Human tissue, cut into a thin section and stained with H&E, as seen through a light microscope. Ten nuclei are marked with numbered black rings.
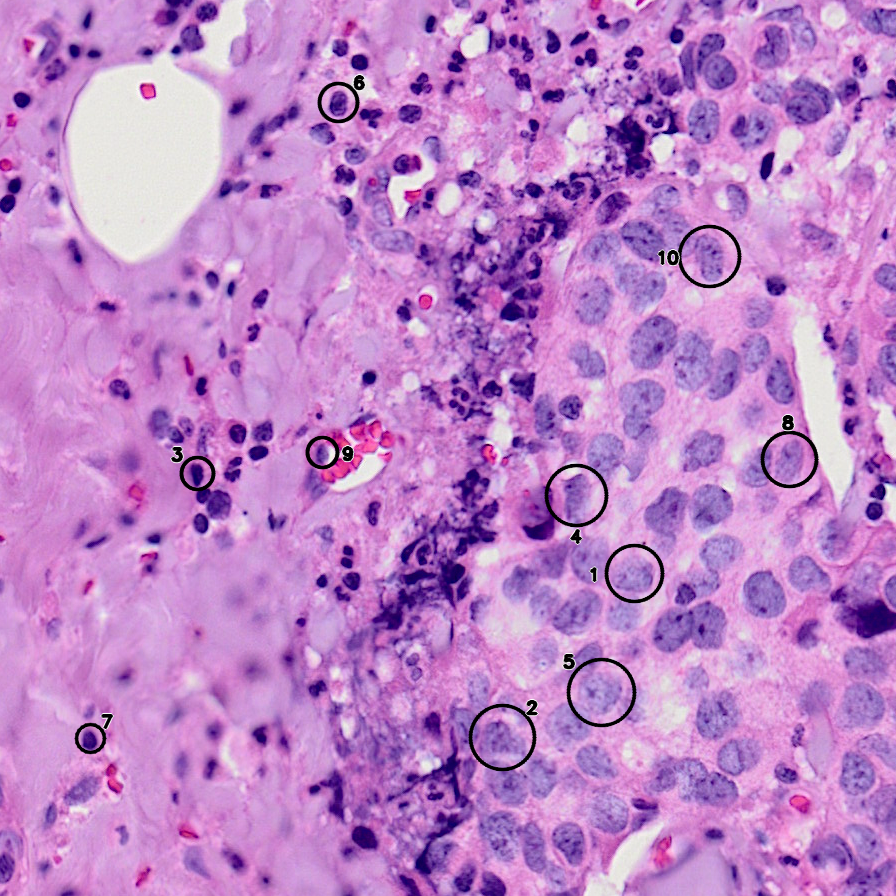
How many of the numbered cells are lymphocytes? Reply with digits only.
3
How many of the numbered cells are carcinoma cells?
6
